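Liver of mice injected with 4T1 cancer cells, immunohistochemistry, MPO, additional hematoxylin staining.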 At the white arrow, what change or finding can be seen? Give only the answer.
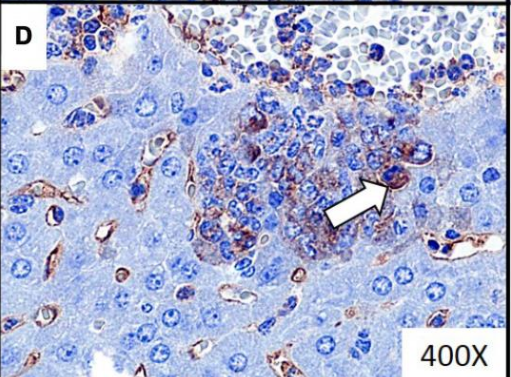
Extramedullary hematopoiesis foci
